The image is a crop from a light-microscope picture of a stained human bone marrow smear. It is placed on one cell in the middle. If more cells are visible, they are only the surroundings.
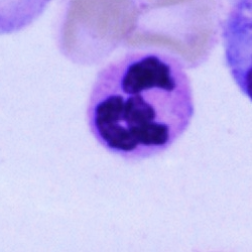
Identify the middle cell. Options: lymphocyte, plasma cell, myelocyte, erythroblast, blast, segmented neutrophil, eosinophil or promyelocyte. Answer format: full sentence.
Occupying the centre of the crop is a segmented neutrophil.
